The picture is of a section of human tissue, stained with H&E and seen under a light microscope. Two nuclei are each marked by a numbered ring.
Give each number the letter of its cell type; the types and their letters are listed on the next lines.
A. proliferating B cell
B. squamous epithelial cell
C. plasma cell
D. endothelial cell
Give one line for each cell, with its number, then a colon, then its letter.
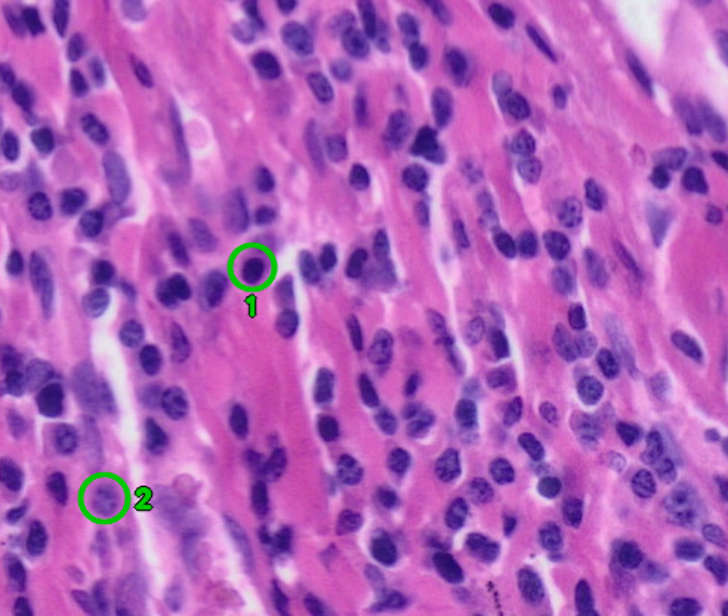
1: C
2: D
